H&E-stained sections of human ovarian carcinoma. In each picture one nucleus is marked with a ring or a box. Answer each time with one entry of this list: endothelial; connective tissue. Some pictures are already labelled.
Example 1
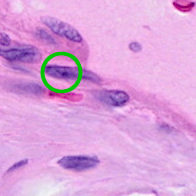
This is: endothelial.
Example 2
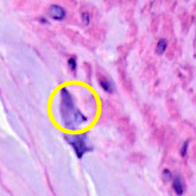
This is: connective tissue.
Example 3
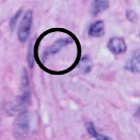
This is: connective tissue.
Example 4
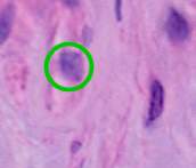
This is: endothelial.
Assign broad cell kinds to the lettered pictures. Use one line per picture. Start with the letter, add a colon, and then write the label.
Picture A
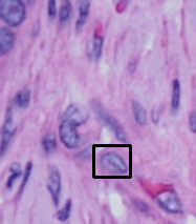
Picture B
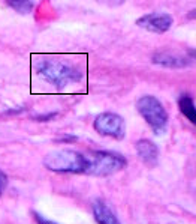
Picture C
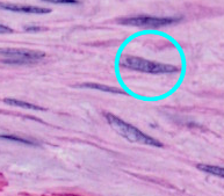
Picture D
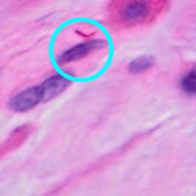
A: endothelial.
B: connective tissue.
C: connective tissue.
D: endothelial.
